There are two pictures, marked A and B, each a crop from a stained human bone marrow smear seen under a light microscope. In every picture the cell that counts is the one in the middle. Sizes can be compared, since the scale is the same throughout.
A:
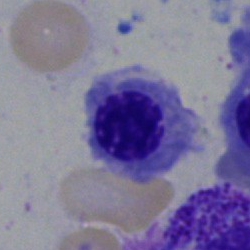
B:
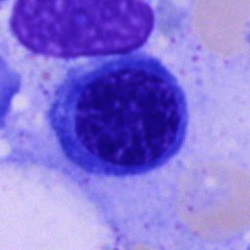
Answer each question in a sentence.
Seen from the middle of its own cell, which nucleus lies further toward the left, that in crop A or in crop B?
It is the nucleus in crop A that lies further toward the left of its cell.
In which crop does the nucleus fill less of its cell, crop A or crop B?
In crop A the nucleus takes up the smaller part of its cell.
